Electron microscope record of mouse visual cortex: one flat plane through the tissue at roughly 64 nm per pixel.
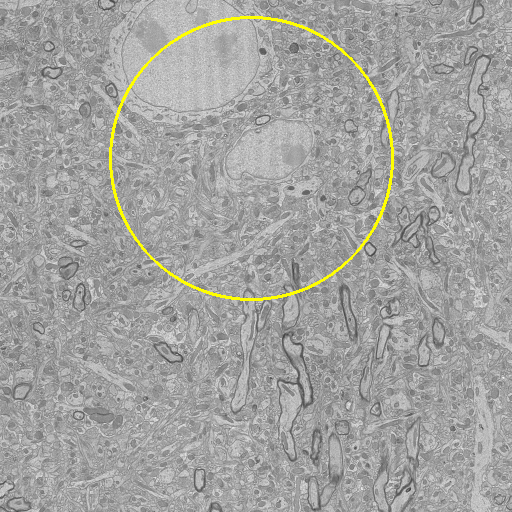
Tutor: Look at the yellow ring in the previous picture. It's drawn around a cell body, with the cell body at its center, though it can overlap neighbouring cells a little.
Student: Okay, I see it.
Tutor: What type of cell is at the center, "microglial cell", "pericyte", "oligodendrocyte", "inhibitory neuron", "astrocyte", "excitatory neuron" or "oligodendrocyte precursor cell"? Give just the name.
oligodendrocyte precursor cell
